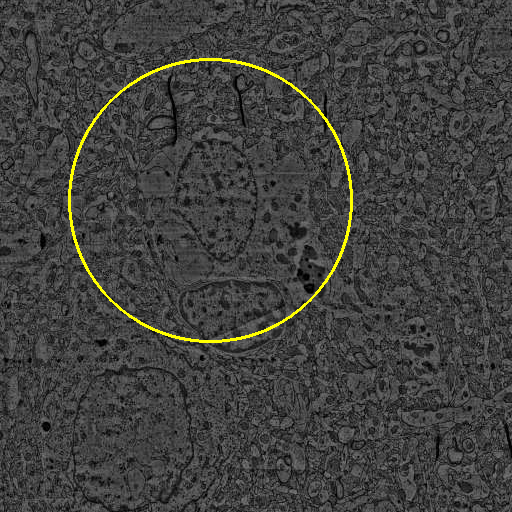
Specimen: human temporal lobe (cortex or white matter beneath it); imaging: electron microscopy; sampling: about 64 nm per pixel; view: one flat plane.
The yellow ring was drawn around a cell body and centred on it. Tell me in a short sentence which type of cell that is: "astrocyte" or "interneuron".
The cell at the ring's centre is an astrocyte.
